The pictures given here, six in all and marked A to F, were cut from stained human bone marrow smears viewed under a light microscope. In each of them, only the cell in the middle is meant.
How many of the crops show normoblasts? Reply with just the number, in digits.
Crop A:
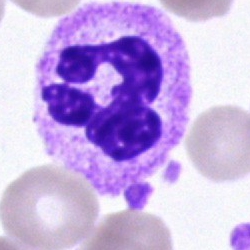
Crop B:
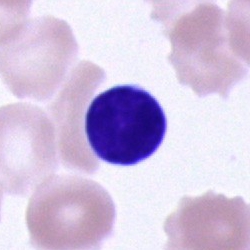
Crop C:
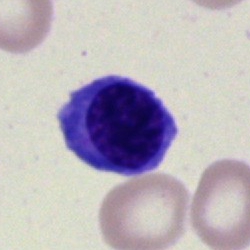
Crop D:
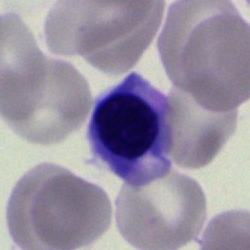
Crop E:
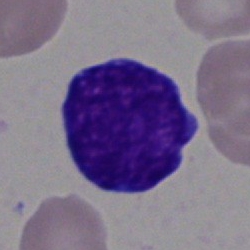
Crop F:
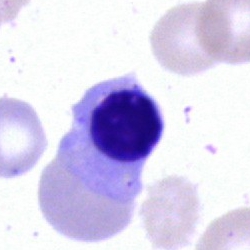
3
